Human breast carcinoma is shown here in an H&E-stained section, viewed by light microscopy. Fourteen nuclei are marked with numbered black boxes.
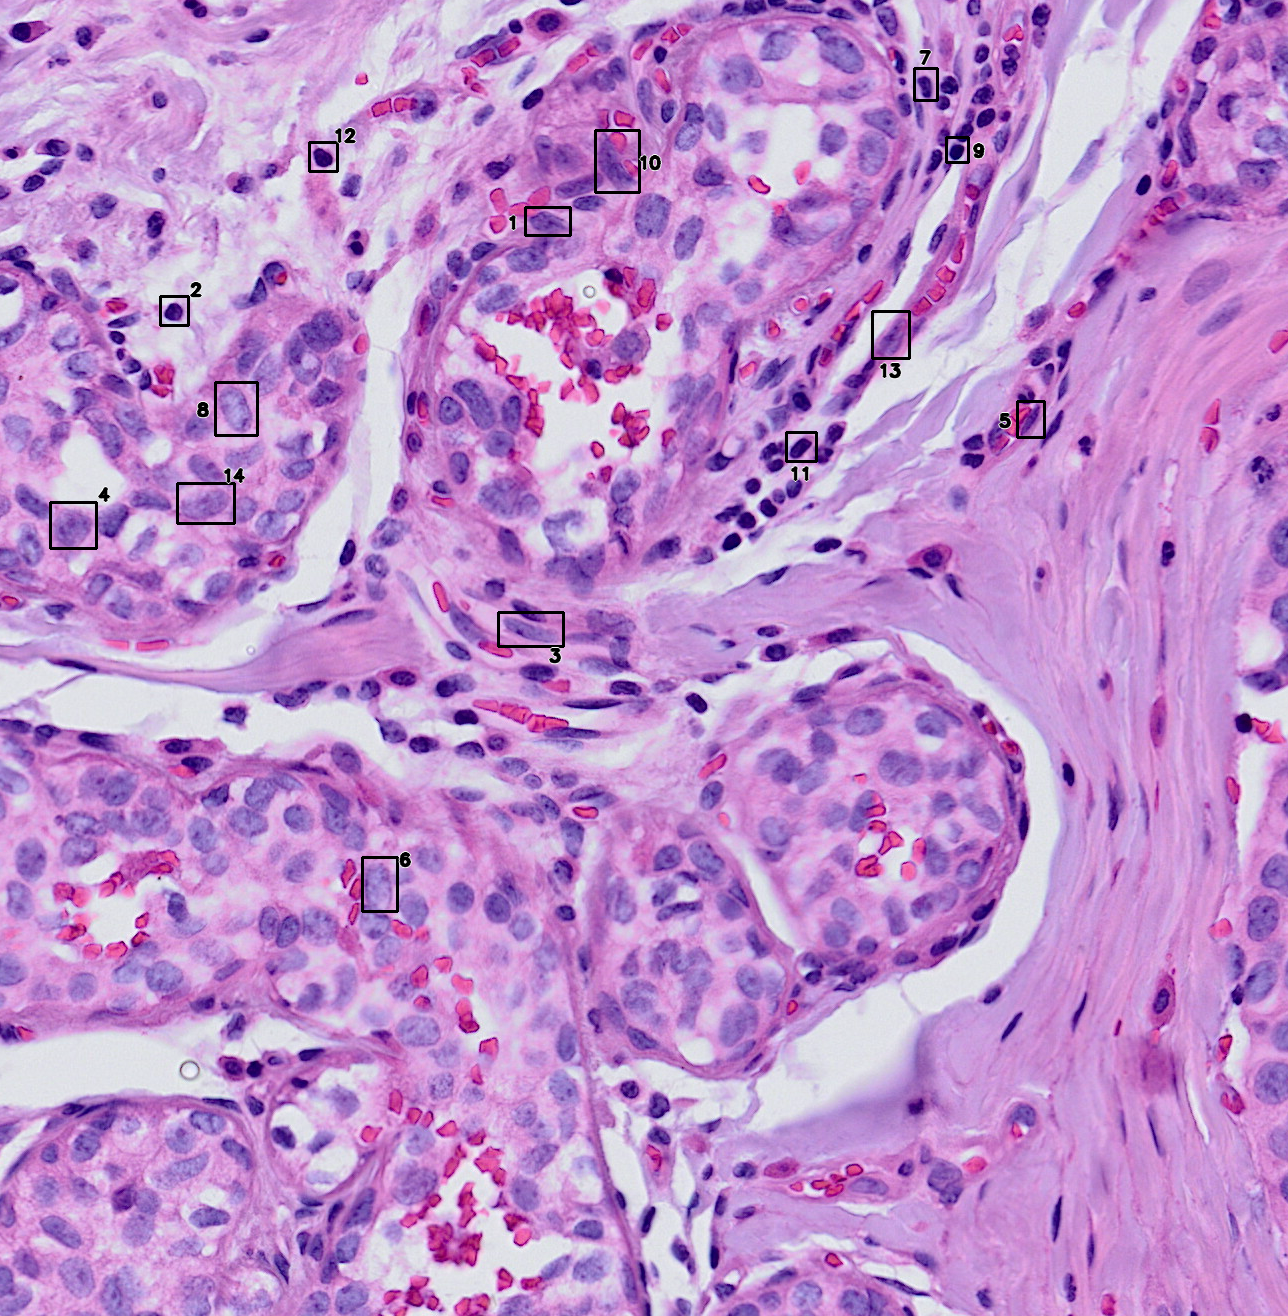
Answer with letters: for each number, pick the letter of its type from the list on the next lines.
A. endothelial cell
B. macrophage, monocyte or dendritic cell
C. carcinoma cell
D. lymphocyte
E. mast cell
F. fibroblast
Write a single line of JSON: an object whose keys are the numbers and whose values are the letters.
{"1": "A", "2": "D", "3": "A", "4": "C", "5": "A", "6": "C", "7": "D", "8": "C", "9": "D", "10": "A", "11": "D", "12": "D", "13": "A", "14": "C"}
